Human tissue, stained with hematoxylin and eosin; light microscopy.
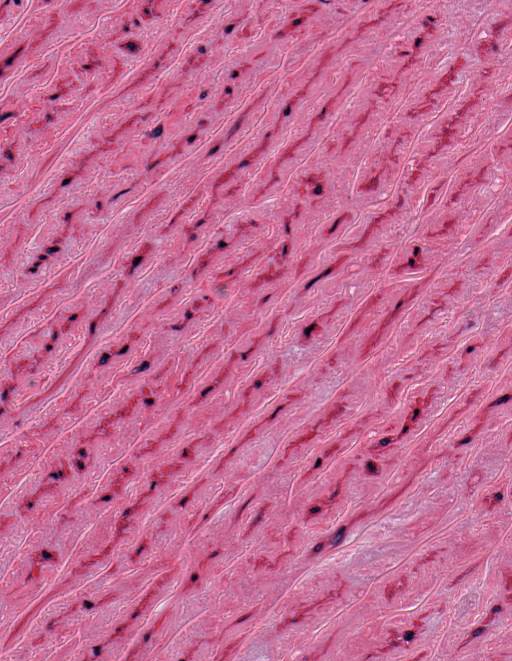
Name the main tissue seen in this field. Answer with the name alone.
tunica media of an artery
